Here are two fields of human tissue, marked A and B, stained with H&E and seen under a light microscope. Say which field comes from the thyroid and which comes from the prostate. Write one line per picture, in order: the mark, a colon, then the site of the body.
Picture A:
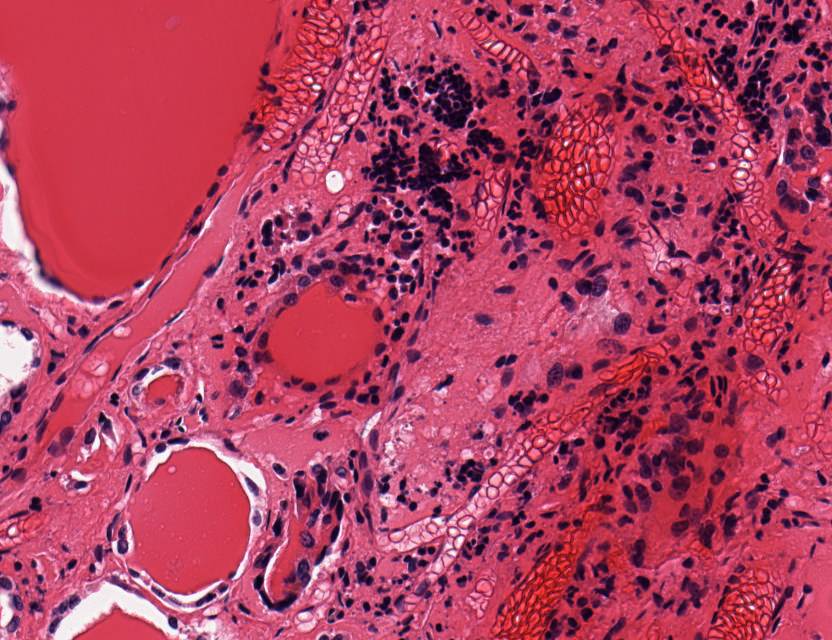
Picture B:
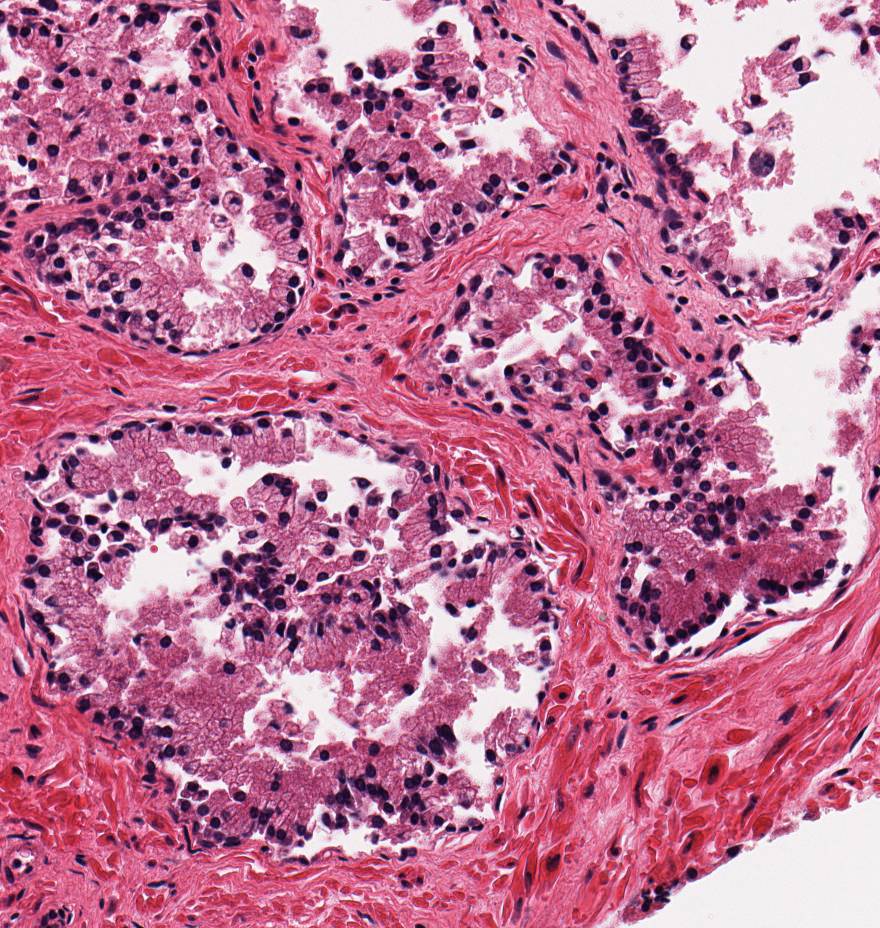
A: thyroid
B: prostate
